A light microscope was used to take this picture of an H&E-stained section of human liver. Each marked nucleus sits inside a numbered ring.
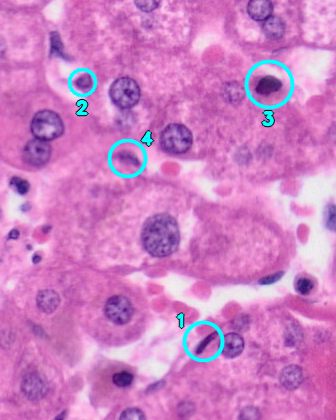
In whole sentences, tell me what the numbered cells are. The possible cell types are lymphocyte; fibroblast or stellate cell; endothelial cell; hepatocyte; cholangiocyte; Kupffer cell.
Cell 1 is a fibroblast or stellate cell, cell 2 is a Kupffer cell, cell 3 is a Kupffer cell and cell 4 is an endothelial cell.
